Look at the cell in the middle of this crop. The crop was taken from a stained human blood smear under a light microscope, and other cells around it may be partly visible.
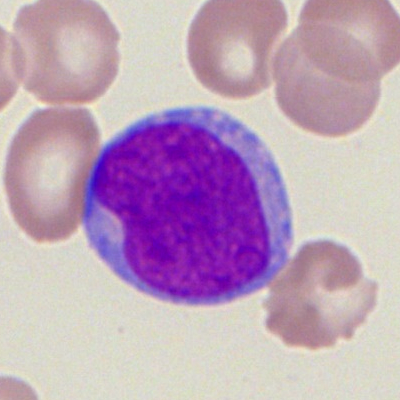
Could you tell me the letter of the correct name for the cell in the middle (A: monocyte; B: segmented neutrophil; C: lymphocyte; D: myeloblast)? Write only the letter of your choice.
D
